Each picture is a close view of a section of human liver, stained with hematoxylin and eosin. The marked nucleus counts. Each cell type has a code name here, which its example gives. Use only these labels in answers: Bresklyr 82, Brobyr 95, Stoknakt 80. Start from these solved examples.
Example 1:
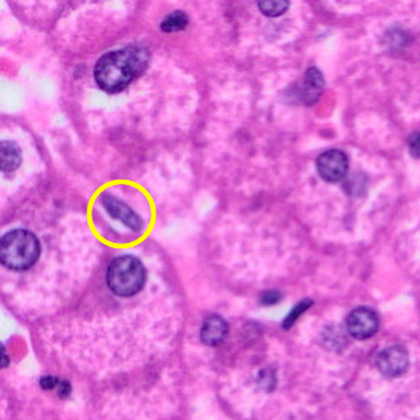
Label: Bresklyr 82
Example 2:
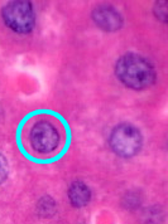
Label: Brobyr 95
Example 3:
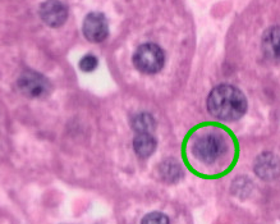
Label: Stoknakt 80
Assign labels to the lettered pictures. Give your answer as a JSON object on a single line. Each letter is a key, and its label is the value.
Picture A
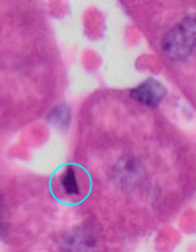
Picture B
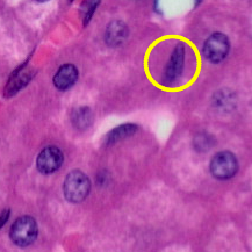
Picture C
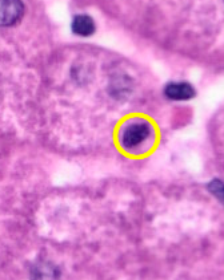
{"A": "Stoknakt 80", "B": "Stoknakt 80", "C": "Stoknakt 80"}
